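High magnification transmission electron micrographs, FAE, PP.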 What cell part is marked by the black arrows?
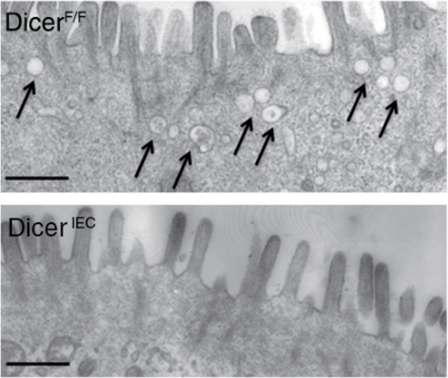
endosomes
